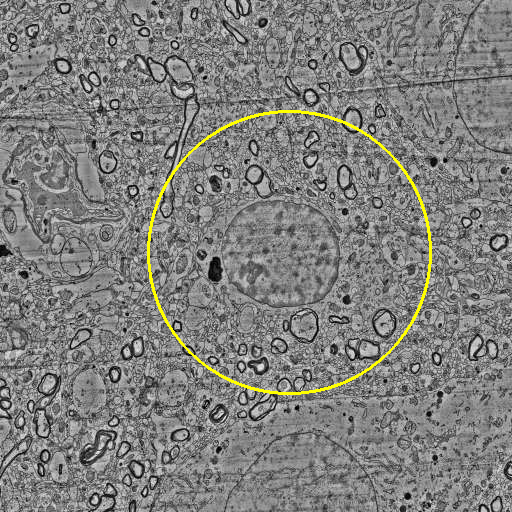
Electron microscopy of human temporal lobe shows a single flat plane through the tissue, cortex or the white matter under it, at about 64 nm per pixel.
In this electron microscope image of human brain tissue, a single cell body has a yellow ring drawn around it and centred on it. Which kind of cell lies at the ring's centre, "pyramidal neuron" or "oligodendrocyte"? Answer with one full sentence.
It is an oligodendrocyte whose cell body lies at the centre of the yellow ring here.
